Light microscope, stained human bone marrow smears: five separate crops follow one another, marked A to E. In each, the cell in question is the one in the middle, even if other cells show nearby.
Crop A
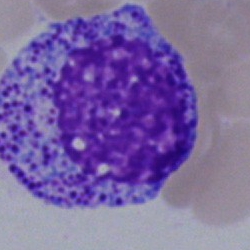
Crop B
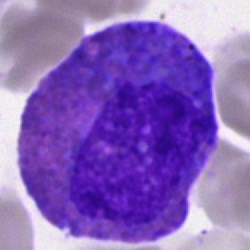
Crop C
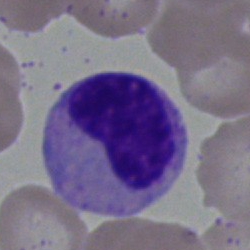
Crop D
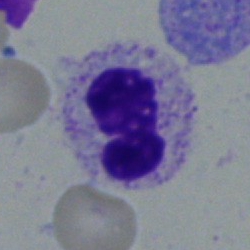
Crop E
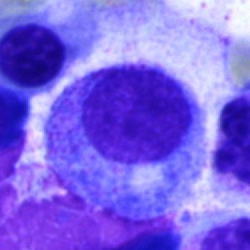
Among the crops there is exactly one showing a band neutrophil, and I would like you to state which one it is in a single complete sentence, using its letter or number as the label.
Crop D is identified as the crop showing a band neutrophil.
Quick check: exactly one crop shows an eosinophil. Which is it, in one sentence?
Crop B is where an eosinophil is shown.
